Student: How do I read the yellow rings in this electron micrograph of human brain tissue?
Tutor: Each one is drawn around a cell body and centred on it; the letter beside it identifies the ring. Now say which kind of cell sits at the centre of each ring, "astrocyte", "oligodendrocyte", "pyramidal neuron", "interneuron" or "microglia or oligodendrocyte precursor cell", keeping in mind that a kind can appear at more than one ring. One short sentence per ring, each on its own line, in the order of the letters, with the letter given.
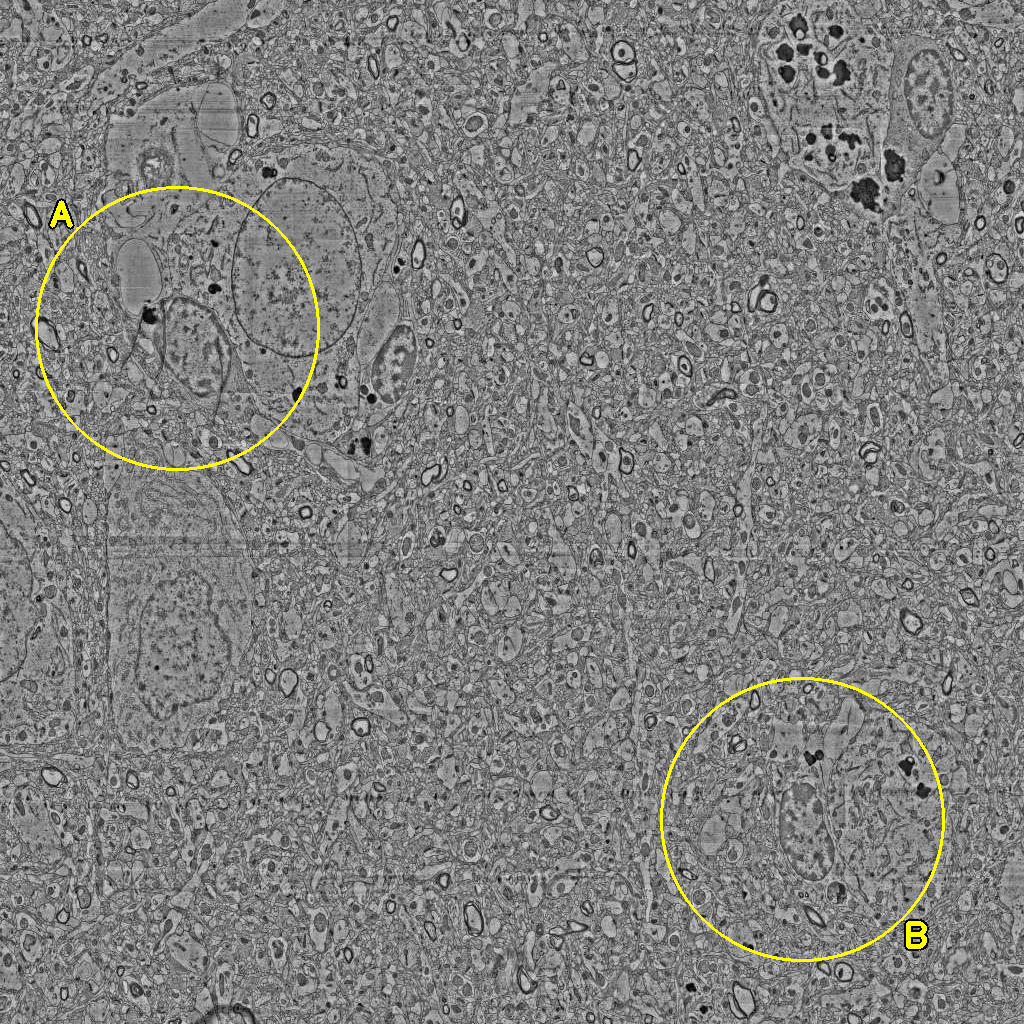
In the centre of ring A is an oligodendrocyte.
In the centre of ring B is a microglial cell or oligodendrocyte precursor cell.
